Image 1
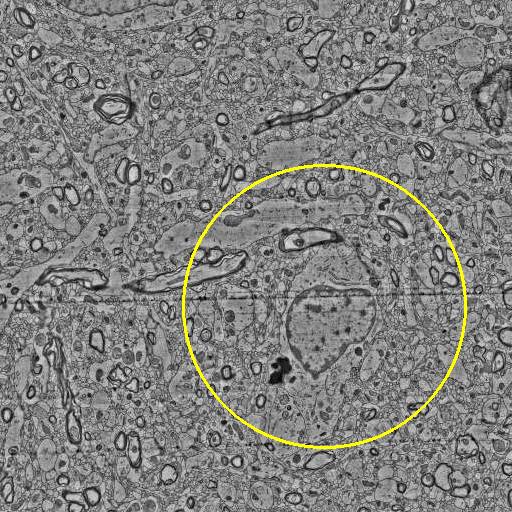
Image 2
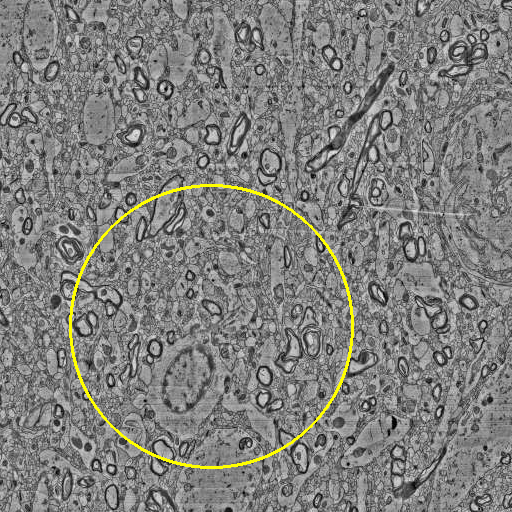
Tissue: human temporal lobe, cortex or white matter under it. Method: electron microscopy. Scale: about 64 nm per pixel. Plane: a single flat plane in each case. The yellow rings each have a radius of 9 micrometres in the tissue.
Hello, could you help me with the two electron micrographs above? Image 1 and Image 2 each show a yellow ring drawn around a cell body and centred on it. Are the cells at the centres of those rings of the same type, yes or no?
yes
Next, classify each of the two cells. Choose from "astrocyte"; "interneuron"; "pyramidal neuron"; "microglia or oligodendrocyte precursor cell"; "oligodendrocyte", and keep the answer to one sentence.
In each picture the ringed cell is a microglial cell or oligodendrocyte precursor cell.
